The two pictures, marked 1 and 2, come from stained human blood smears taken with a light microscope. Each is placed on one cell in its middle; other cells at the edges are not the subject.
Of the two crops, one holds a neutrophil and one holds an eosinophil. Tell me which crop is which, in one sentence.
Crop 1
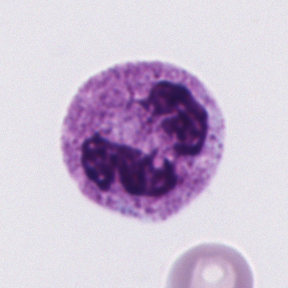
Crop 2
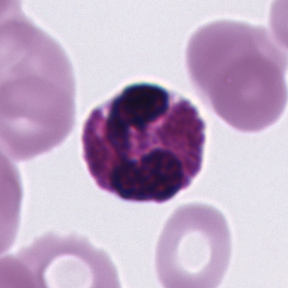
Crop 1 is a neutrophil, with crop 2 being an eosinophil.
